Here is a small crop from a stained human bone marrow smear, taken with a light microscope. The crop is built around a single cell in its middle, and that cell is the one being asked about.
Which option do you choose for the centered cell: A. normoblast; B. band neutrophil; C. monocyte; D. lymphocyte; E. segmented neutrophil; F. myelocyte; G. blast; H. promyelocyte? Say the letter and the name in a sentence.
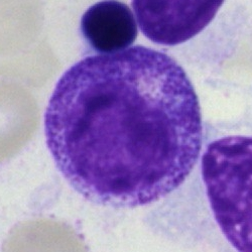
Option H is the correct option, with the middle cell being a promyelocyte.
